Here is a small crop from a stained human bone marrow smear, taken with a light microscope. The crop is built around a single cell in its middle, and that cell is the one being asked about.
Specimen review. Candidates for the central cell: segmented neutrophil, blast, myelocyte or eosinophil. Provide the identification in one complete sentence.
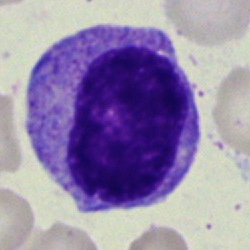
As for the central cell, it is a myelocyte.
